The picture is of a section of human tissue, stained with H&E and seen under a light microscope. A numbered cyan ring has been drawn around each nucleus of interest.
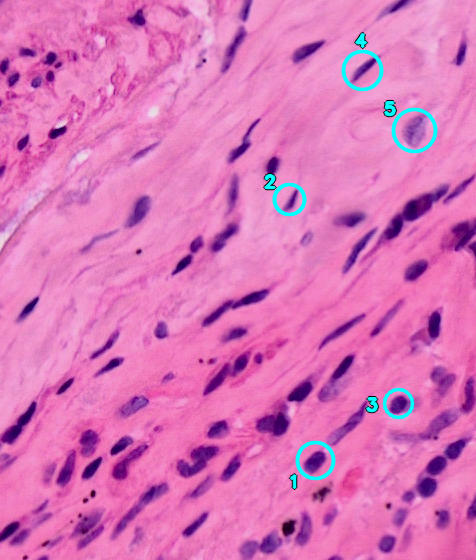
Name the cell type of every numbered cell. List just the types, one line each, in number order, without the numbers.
lymphocyte
fibroblast
lymphocyte
fibroblast
fibroblast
